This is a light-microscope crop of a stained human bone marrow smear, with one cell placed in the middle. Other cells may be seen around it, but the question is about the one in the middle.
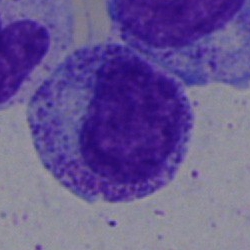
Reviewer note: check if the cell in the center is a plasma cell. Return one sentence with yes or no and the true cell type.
No, the cell in the middle is categorised as a myelocyte, not a plasma cell.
